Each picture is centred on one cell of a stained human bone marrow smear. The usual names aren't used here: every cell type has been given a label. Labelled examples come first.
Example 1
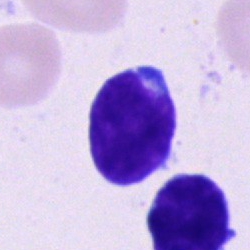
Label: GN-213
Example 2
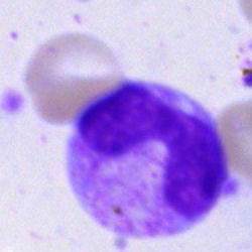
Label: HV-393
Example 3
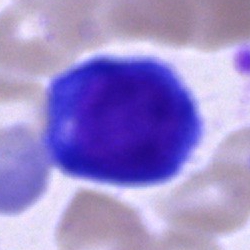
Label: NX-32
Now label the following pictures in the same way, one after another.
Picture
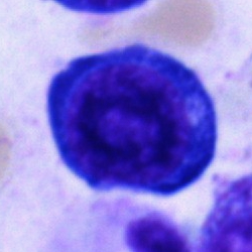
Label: NX-32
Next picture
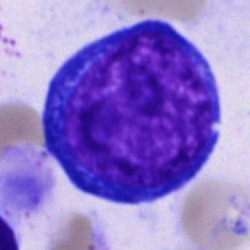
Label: NX-32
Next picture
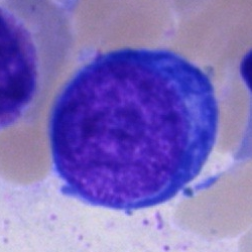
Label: NX-32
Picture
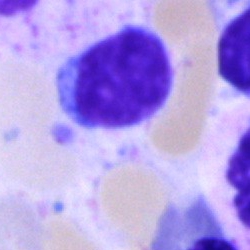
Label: GN-213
